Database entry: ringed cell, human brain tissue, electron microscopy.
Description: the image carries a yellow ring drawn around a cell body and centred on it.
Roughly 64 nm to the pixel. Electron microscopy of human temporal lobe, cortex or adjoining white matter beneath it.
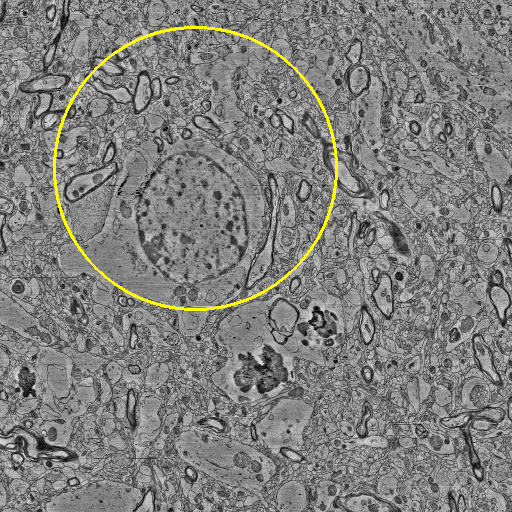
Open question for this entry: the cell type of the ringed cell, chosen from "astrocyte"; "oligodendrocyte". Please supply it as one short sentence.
The ringed cell is an astrocyte.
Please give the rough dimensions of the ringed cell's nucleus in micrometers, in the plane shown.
Roughly 9 by 7 micrometres is the size of the nucleus in this plane.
